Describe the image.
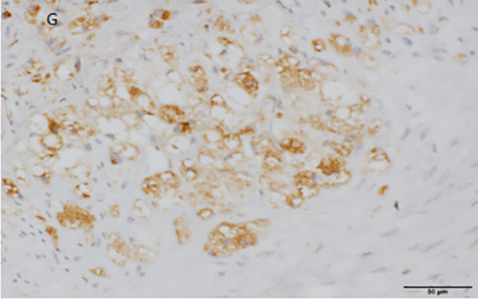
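The cells are rounded and plump, many with a foamy, vacuolated look, and the brown stain is granular and uneven within them. Around this cluster lie pale spindle-shaped cells with faint bluish nuclei that take up no brown.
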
